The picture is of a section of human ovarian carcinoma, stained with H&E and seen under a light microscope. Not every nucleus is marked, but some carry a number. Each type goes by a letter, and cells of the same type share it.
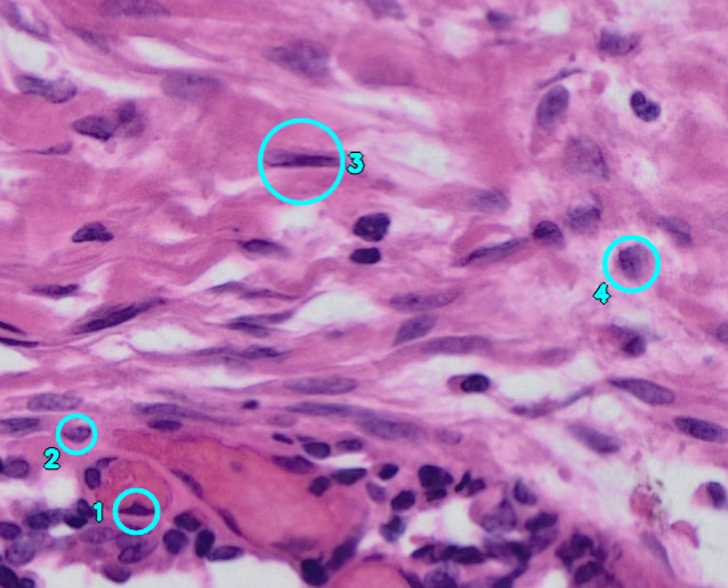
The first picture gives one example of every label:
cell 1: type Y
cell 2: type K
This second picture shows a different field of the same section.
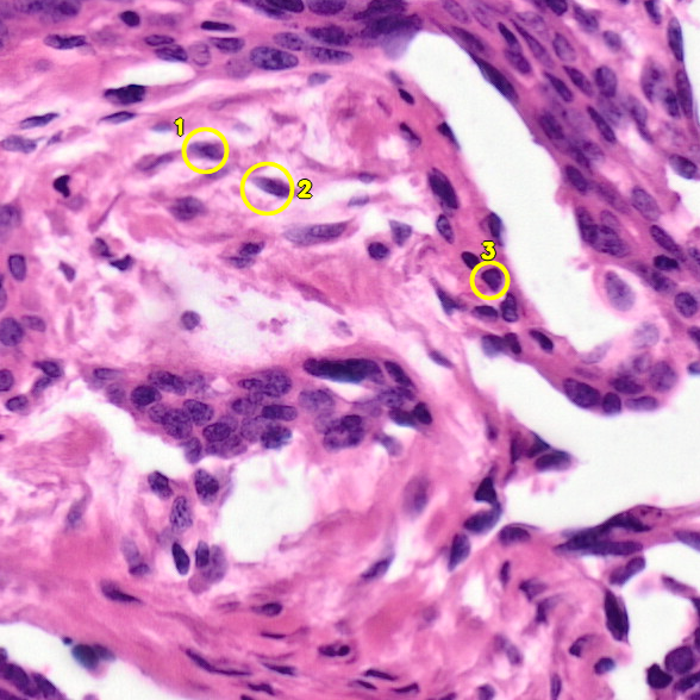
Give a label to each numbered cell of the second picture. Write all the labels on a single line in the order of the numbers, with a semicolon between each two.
type K; type K; type Y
